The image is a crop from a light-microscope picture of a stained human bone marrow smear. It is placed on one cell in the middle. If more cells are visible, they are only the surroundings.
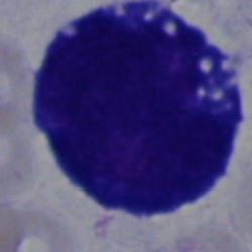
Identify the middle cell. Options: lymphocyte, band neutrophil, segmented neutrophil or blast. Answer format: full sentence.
As for the cell in the middle, it is a blast.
